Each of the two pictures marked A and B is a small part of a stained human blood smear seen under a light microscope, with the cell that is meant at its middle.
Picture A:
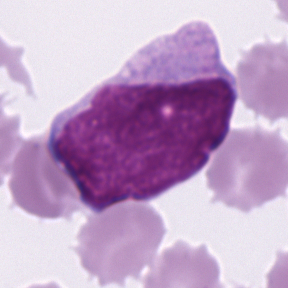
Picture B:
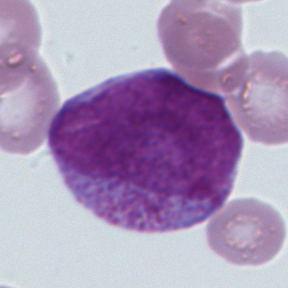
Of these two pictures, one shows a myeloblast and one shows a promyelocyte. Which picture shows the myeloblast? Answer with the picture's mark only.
A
